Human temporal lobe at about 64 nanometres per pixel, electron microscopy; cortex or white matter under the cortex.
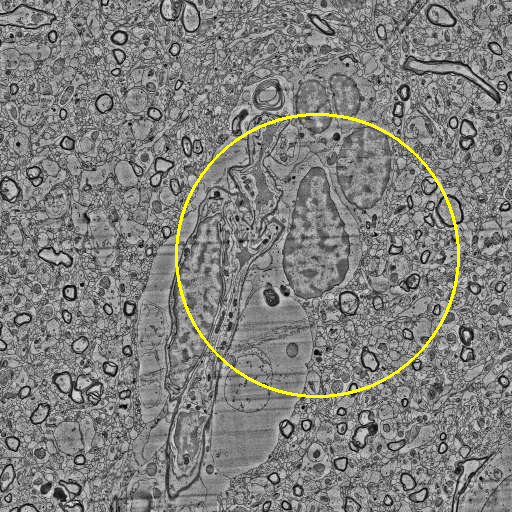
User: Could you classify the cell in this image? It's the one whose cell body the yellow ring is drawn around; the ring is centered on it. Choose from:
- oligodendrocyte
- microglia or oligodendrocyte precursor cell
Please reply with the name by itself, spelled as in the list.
microglia or oligodendrocyte precursor cell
